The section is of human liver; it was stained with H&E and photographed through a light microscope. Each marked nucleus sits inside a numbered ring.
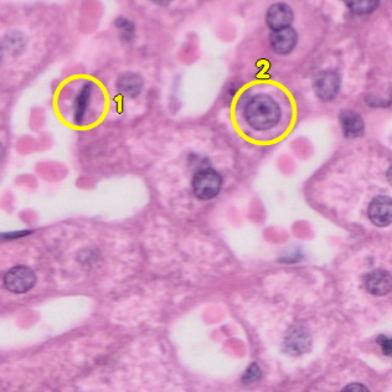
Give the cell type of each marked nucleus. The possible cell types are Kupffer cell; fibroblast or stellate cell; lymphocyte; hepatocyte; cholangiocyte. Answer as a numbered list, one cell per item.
1. fibroblast or stellate cell
2. hepatocyte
